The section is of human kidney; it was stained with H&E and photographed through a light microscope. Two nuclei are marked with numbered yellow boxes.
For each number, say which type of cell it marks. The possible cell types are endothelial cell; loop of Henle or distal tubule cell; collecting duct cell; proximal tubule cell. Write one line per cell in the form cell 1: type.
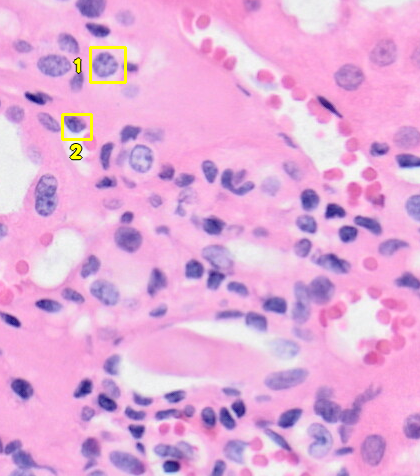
cell 1: collecting duct cell
cell 2: endothelial cell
